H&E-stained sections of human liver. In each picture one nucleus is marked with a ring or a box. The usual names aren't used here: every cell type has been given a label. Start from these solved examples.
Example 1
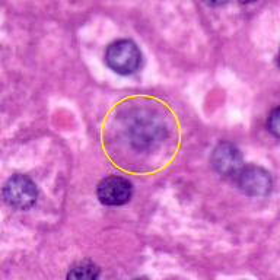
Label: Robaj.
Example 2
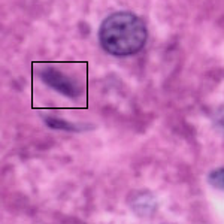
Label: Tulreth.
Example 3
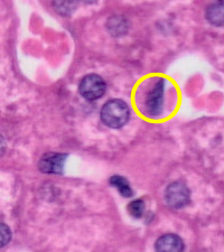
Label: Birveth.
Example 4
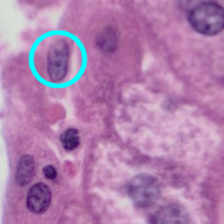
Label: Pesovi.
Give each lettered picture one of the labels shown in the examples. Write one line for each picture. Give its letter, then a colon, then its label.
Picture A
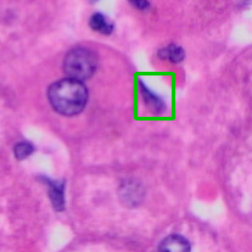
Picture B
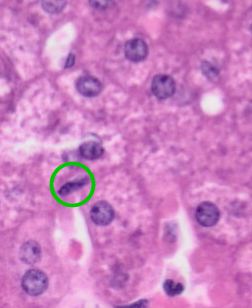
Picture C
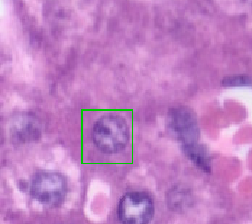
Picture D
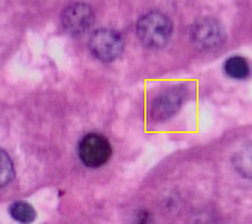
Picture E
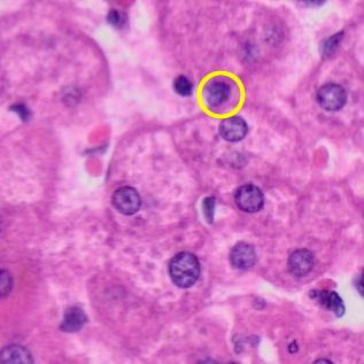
A: Birveth.
B: Tulreth.
C: Robaj.
D: Pesovi.
E: Tulreth.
